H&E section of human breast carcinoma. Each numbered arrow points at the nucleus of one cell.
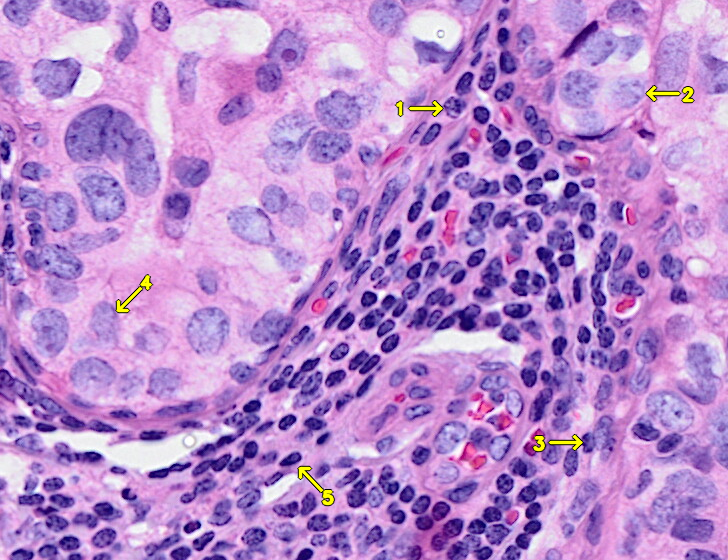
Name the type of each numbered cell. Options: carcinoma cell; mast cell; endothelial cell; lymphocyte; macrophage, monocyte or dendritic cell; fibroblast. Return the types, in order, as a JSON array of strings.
["lymphocyte", "carcinoma cell", "lymphocyte", "carcinoma cell", "lymphocyte"]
